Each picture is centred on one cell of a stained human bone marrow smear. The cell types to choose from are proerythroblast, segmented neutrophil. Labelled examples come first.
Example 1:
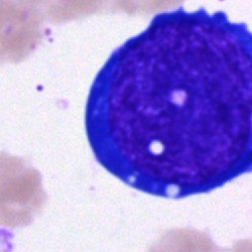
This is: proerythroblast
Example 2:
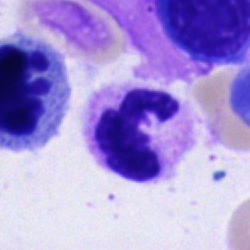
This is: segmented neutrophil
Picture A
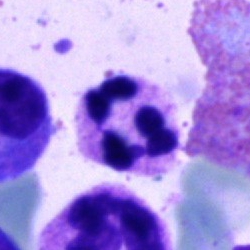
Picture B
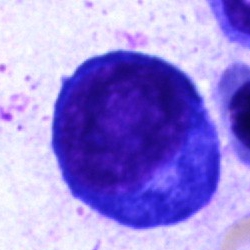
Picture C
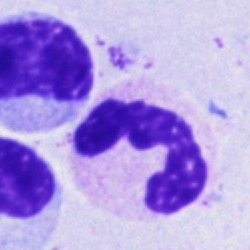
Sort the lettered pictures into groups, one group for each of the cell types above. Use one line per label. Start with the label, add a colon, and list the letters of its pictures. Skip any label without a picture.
proerythroblast: B
segmented neutrophil: A, C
